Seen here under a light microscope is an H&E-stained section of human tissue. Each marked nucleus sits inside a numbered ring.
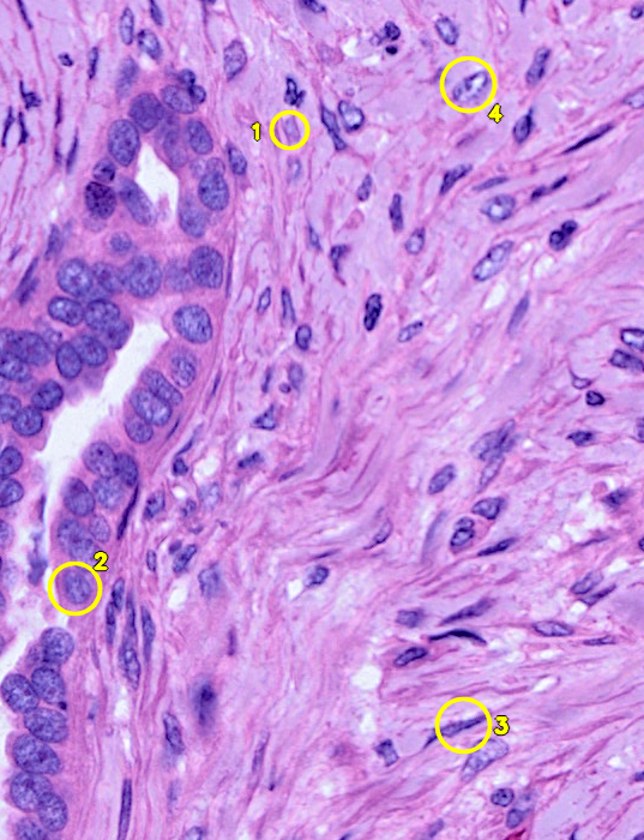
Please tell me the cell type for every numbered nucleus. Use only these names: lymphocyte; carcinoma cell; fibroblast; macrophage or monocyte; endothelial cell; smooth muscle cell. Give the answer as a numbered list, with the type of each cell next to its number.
1. fibroblast
2. carcinoma cell
3. fibroblast
4. fibroblast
